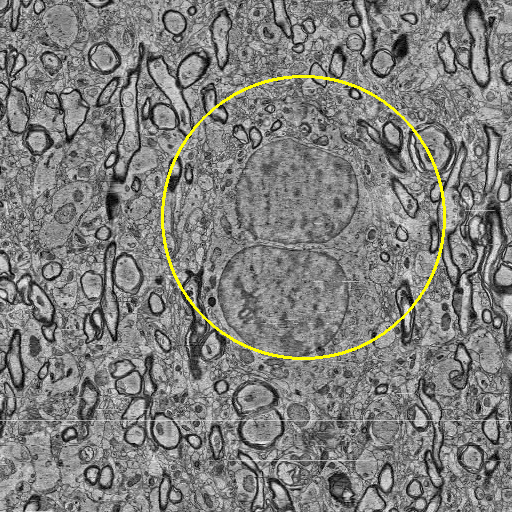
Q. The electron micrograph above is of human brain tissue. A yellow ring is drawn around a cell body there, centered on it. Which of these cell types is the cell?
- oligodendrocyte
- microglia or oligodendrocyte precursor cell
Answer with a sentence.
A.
The cell under the ring's center is an oligodendrocyte.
